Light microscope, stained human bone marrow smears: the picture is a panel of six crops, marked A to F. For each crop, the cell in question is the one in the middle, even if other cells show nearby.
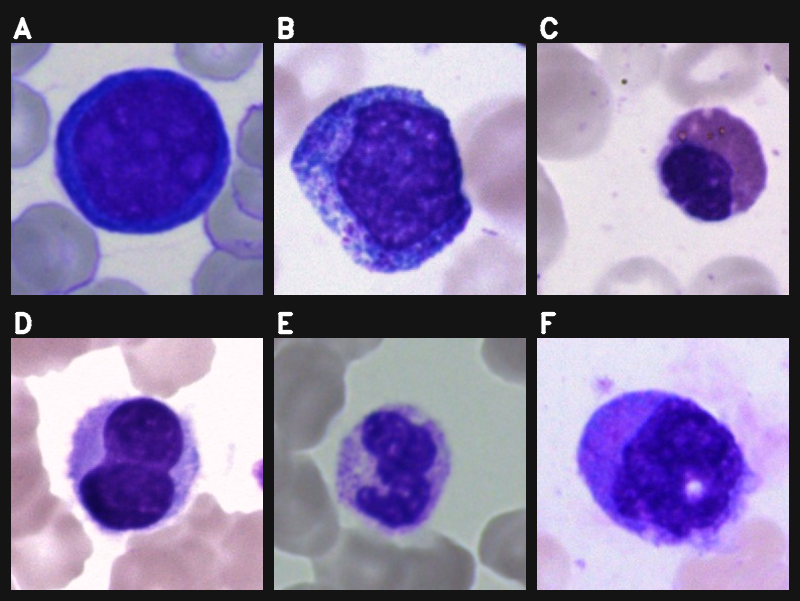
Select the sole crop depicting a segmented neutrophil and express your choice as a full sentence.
The crop marked E is the one that shows a segmented neutrophil.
